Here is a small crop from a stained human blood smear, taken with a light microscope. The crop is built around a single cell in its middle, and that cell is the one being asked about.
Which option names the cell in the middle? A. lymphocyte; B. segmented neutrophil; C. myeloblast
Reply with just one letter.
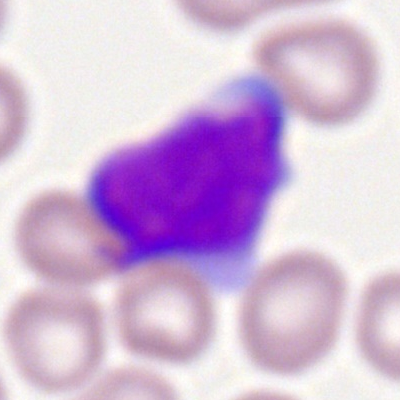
C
